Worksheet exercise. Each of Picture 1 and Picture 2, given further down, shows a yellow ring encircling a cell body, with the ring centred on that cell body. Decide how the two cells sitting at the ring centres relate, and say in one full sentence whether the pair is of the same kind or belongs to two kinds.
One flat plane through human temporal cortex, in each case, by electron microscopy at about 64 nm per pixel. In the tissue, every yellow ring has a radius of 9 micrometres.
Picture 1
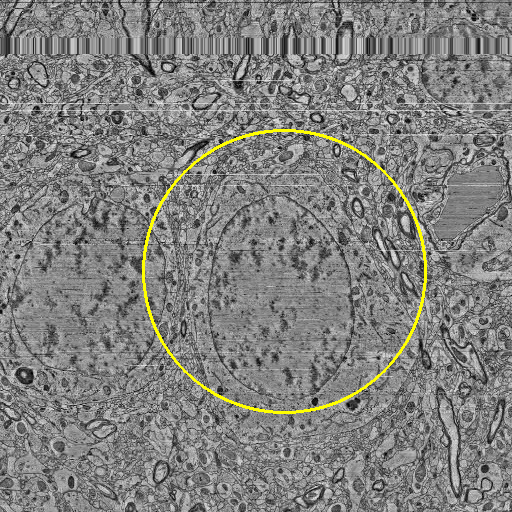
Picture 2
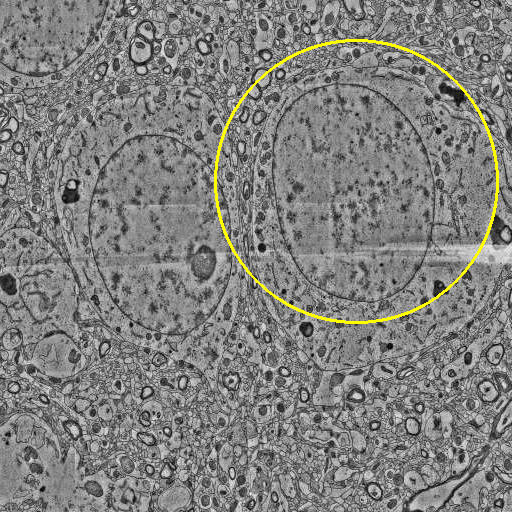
The cells at the ring centres in Picture 1 and Picture 2 are of the same kind.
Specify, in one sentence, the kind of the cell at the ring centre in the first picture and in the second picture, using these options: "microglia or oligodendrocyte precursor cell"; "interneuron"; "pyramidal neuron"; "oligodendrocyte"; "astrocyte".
Each one of the two ringed cells is a pyramidal neuron.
